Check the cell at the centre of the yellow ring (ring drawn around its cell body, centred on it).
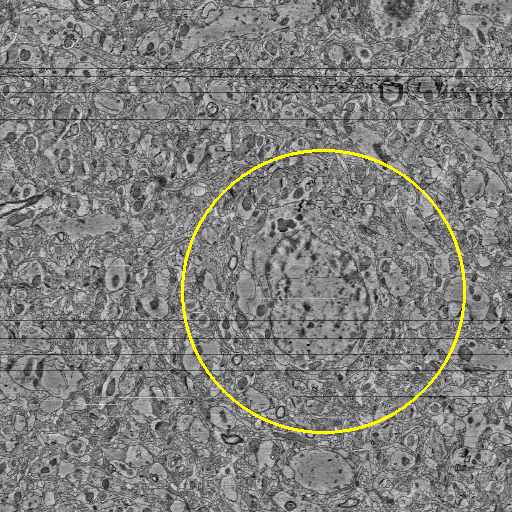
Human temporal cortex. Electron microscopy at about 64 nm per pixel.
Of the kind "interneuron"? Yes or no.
yes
